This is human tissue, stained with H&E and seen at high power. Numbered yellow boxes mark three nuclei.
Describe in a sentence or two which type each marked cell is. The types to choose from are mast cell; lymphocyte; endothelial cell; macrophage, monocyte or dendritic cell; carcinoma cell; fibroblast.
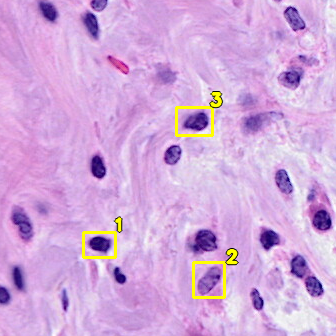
Cells 1 and 3 are lymphocytes. Cell 2 is a macrophage, monocyte or dendritic cell.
